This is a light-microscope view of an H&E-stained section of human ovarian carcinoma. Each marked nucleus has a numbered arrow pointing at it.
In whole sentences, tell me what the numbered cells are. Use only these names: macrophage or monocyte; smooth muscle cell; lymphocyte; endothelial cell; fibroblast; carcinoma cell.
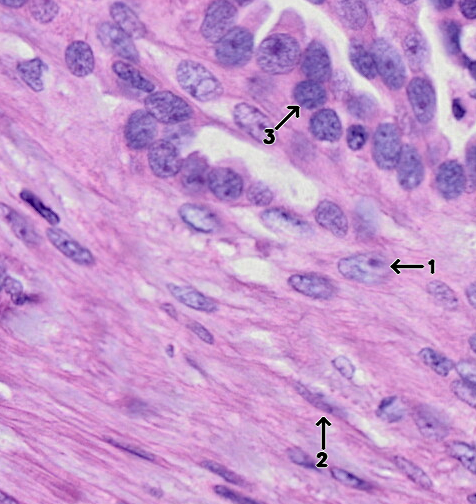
Cell 1 is a fibroblast, cell 2 is a fibroblast and cell 3 is a carcinoma cell.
